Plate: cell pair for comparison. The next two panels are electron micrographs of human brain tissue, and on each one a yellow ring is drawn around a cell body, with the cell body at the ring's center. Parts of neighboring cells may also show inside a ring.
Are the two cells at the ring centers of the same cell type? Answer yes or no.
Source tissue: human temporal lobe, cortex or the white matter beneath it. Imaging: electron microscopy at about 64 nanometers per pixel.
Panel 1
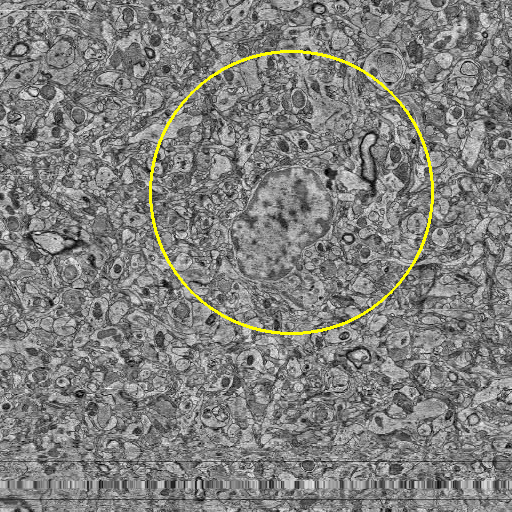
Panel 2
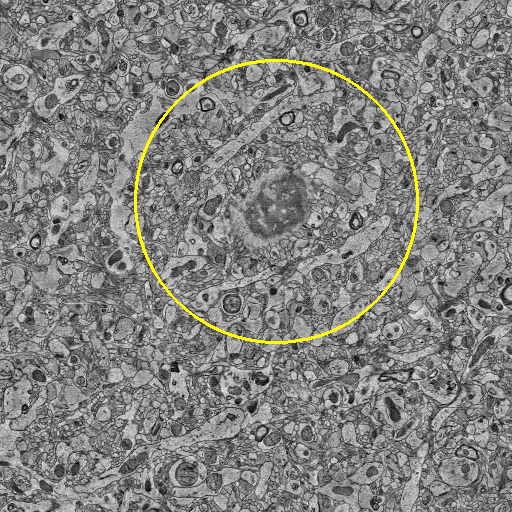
no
